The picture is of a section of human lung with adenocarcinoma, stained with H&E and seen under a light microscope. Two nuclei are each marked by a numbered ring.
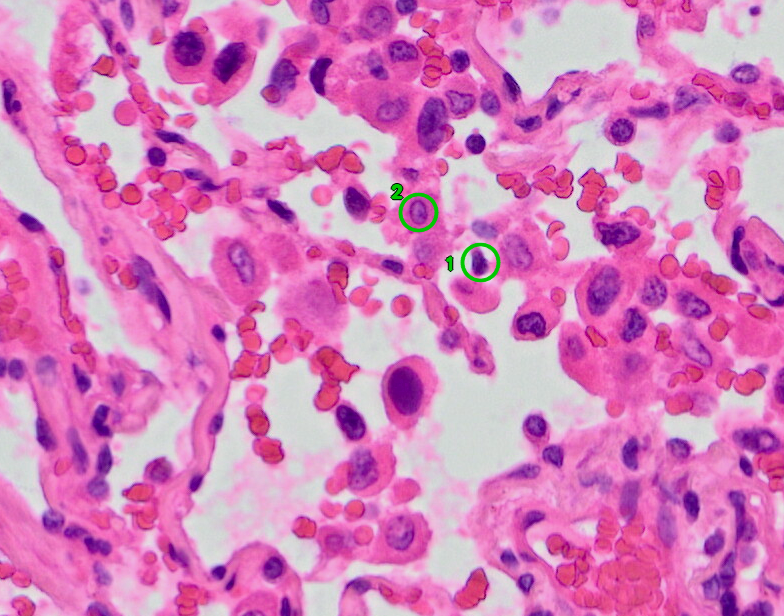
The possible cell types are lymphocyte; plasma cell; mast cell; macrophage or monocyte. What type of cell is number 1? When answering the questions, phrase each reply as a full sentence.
The identity of cell 1 is that of a lymphocyte.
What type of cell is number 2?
The cell indicated by marker 2 is a macrophage or monocyte in this section.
